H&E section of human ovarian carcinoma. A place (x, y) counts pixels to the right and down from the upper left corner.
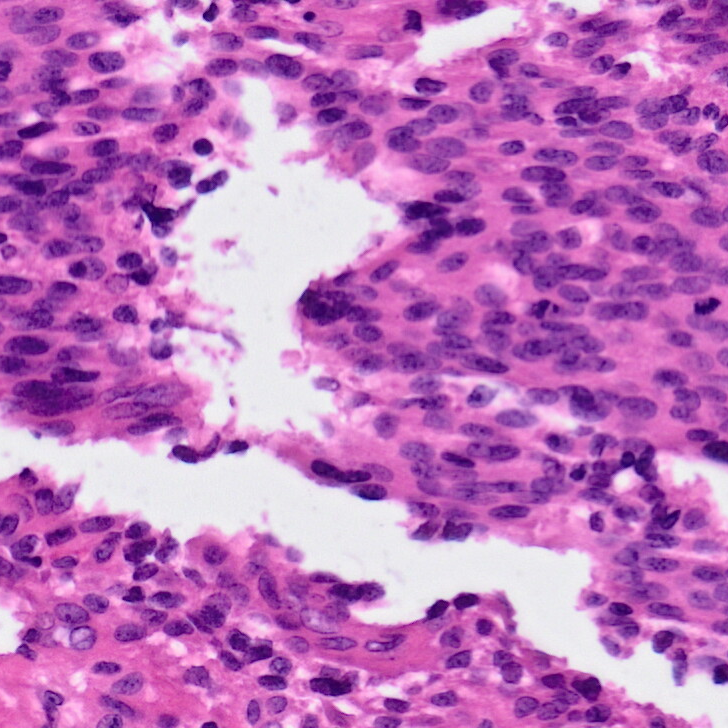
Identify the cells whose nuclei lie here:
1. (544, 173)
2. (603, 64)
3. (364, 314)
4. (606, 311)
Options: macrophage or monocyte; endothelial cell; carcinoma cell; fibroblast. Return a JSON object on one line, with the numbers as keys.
{"1": "carcinoma cell", "2": "macrophage or monocyte", "3": "carcinoma cell", "4": "carcinoma cell"}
